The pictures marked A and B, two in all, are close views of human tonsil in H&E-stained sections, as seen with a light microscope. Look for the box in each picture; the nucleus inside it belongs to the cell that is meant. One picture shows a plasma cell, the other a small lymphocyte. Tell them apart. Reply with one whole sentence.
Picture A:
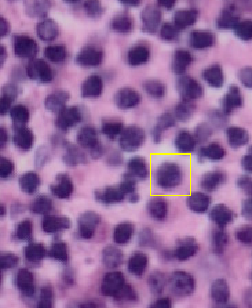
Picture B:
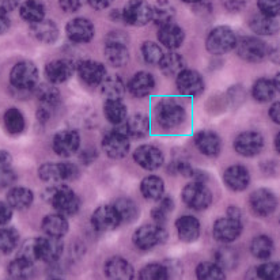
Picture A shows a small lymphocyte and picture B shows a plasma cell.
